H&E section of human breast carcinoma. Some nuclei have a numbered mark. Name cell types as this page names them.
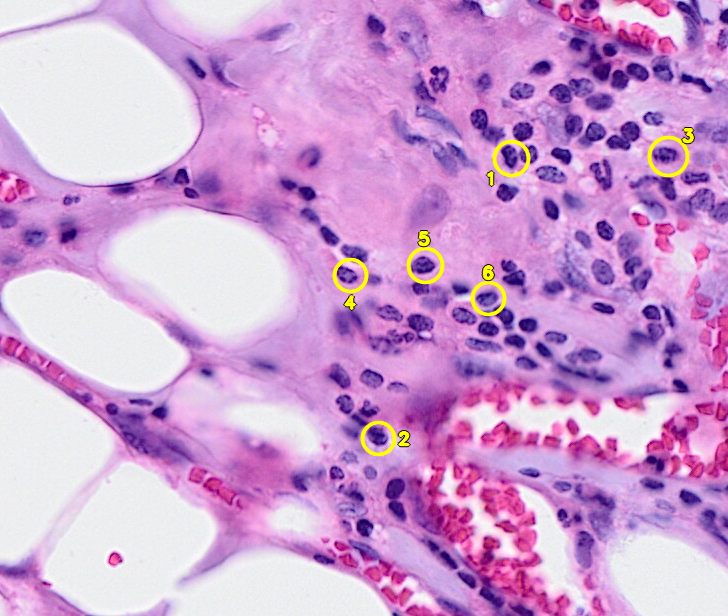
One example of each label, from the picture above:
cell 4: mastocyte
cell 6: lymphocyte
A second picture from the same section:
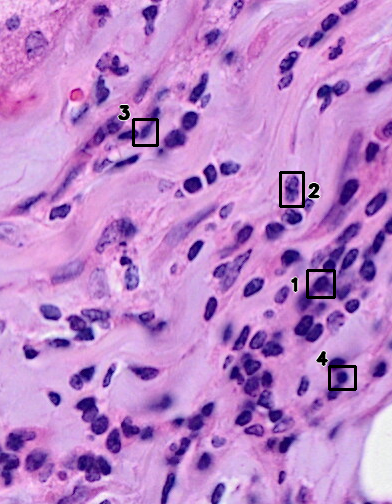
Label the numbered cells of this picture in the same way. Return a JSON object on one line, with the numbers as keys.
{"1": "lymphocyte", "2": "mastocyte", "3": "lymphocyte", "4": "lymphocyte"}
